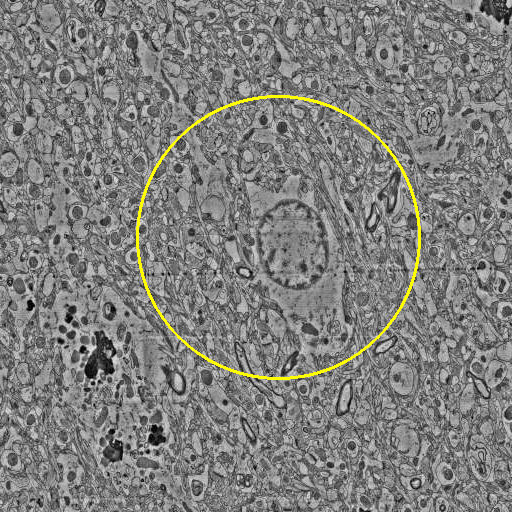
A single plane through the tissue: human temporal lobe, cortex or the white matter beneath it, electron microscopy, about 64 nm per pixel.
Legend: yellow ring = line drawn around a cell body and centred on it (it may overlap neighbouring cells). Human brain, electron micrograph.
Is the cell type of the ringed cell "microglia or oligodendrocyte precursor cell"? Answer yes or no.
no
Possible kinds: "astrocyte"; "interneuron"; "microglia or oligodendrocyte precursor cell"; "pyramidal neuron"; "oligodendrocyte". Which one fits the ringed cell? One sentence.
As it turns out, the cell at the ring centre is an astrocyte.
